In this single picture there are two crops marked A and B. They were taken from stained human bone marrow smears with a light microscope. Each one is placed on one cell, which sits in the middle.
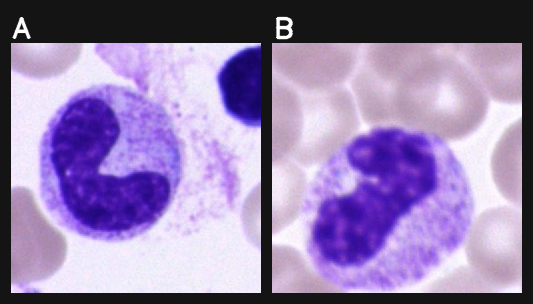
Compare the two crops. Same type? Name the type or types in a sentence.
Yes, that holds, both crops show band neutrophils.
